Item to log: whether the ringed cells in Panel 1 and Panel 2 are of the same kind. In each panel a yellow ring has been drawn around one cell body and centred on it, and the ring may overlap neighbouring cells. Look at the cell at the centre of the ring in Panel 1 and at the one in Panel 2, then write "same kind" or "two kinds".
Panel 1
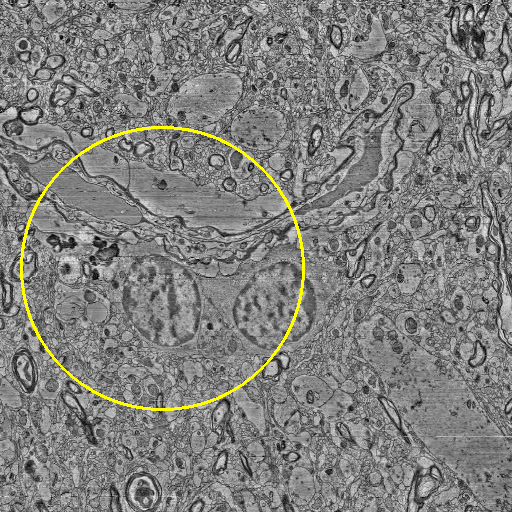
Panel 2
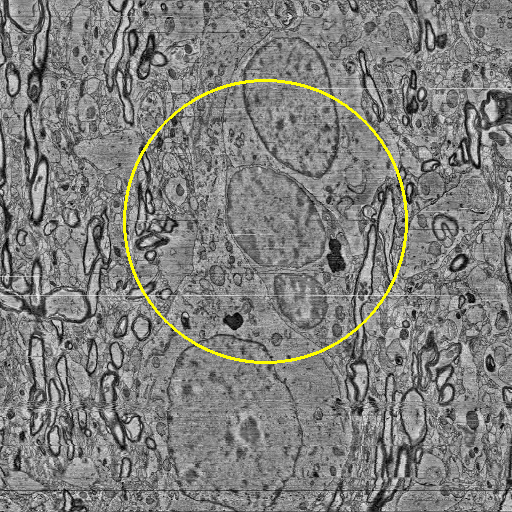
same kind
